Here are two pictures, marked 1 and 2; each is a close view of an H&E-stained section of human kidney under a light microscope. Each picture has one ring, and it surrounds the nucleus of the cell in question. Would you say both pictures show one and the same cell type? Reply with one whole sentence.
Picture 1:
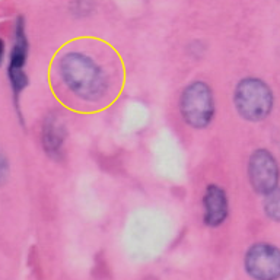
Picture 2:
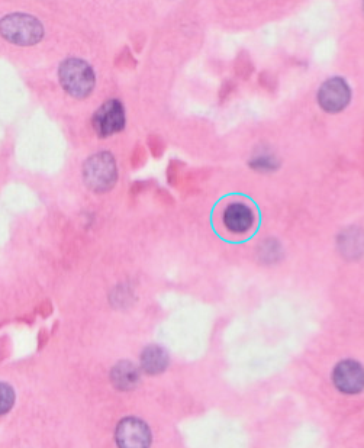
Yes, they are the same type: both are proximal tubule cells.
